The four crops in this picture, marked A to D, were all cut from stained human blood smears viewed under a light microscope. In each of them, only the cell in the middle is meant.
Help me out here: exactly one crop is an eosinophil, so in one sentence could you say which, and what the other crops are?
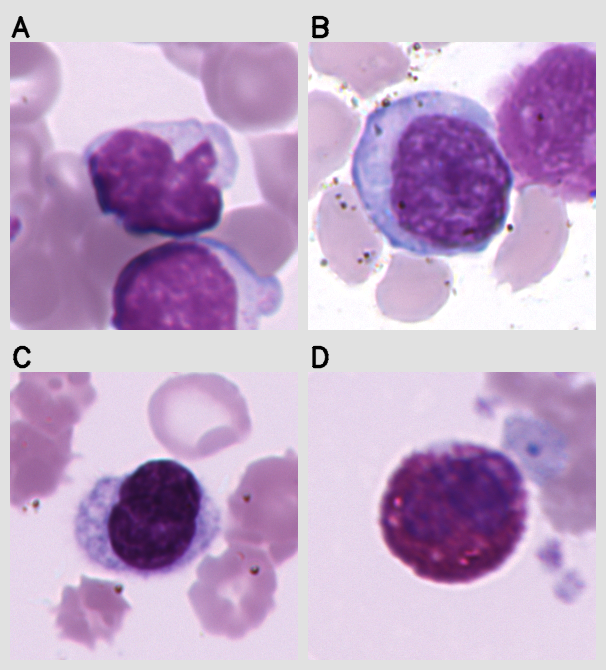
There is an eosinophil in crop D, while crop A is a large granular lymphocyte, crop B is a plasma cell and crop C is a hairy cell.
